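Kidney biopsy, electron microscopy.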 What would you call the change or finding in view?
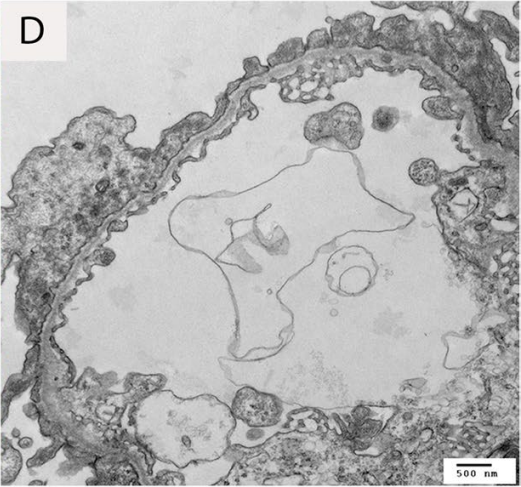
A: markedly attenuated glomerular basement membranes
